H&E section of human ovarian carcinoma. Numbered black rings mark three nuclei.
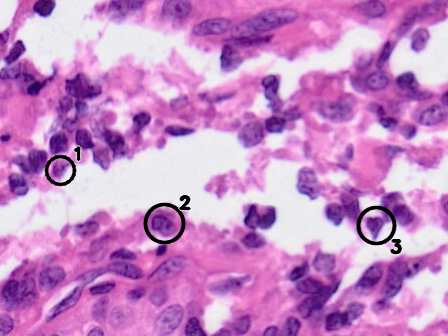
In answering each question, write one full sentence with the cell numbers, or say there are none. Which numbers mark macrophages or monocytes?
The nucleus numbered 2 is the only one that belongs to a macrophage or monocyte.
